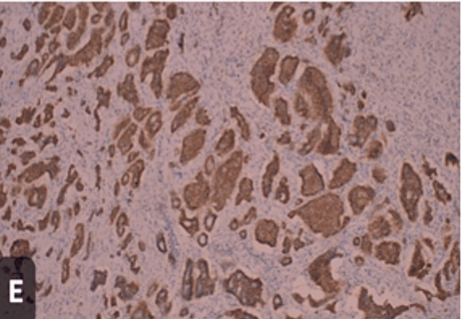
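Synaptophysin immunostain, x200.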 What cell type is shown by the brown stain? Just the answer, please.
Tumor cells.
